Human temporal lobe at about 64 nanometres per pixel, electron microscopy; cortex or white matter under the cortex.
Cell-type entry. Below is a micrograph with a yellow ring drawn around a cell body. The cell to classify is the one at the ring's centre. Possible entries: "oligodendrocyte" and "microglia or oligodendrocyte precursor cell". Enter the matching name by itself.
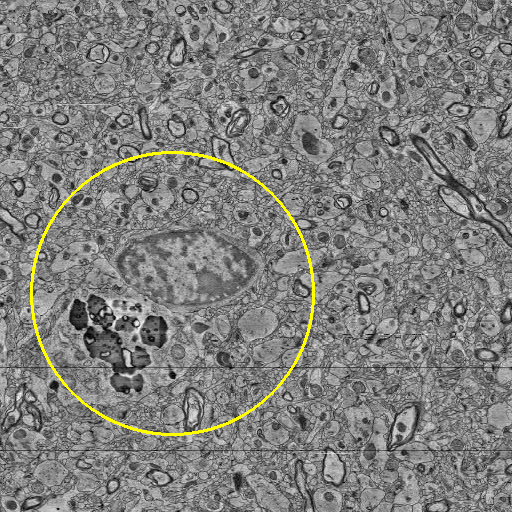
oligodendrocyte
